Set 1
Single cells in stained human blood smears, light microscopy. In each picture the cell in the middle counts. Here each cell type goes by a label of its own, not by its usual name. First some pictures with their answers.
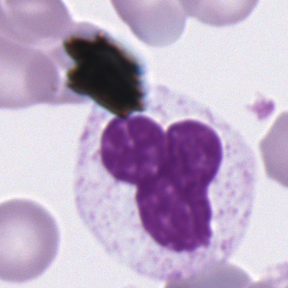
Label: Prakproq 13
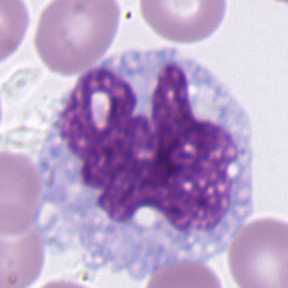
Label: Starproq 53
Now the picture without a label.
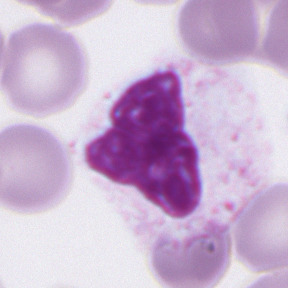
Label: Prakproq 13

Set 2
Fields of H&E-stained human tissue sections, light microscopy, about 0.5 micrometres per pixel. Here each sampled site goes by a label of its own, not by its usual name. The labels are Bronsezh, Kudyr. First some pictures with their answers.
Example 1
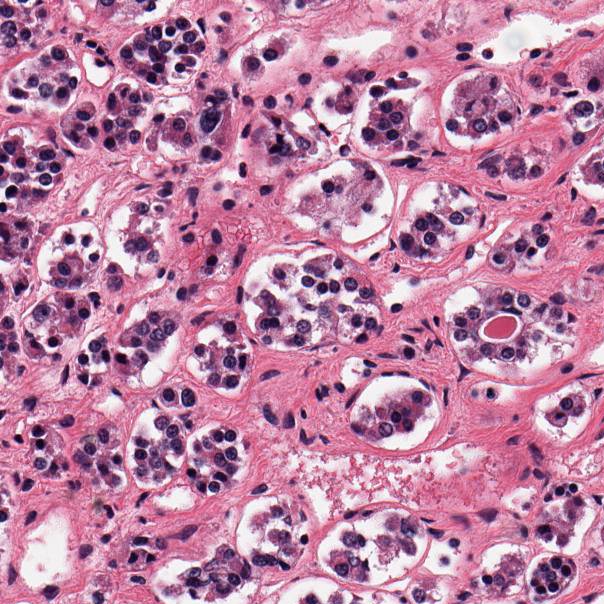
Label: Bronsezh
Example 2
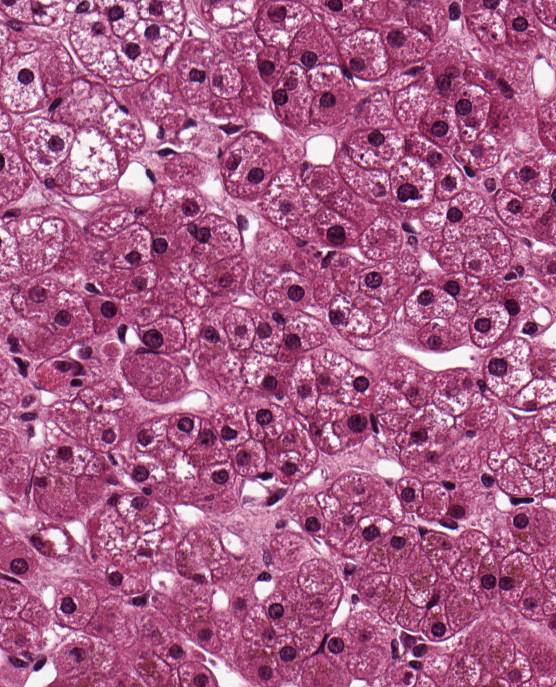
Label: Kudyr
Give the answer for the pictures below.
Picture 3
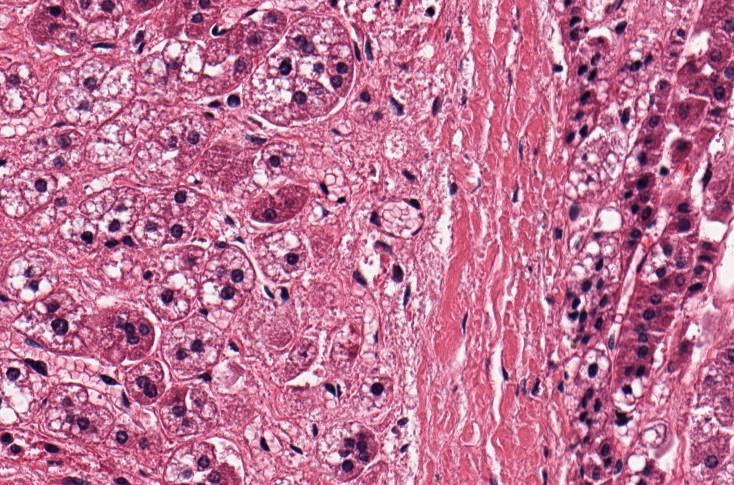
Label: Kudyr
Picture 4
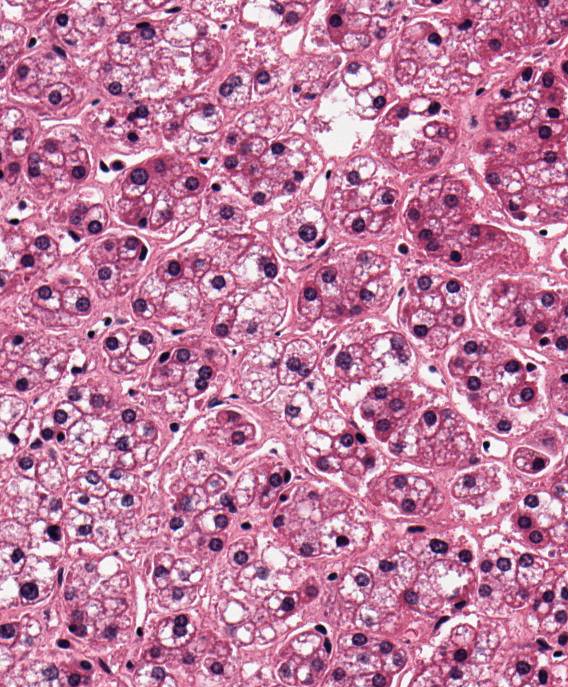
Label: Kudyr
